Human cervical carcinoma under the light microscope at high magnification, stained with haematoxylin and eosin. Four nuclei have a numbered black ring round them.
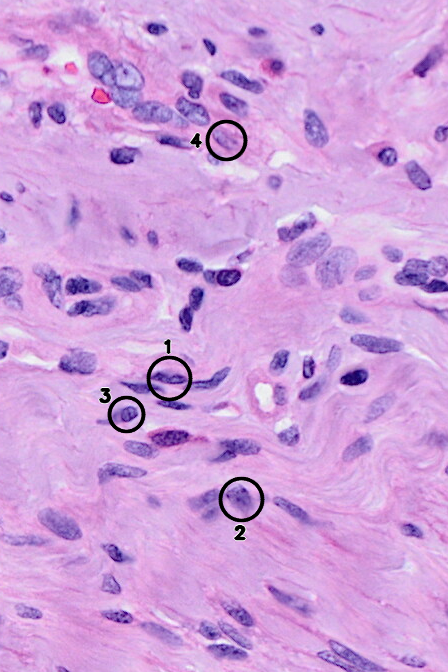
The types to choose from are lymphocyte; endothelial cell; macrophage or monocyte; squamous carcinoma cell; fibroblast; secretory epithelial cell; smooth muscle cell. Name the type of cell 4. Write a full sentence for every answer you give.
That cell with number 4 is an endothelial cell.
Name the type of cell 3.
Identified by the number 3, the cell is a fibroblast.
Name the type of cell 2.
The cell to which the number 2 is assigned is a fibroblast.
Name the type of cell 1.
The numeral 1 marks a fibroblast in this section.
